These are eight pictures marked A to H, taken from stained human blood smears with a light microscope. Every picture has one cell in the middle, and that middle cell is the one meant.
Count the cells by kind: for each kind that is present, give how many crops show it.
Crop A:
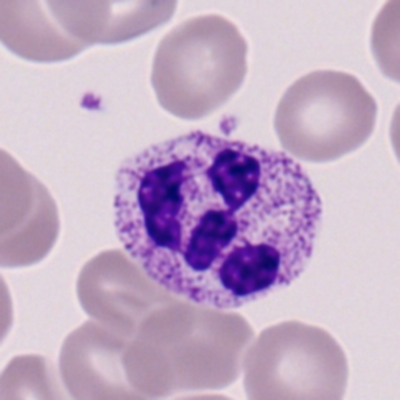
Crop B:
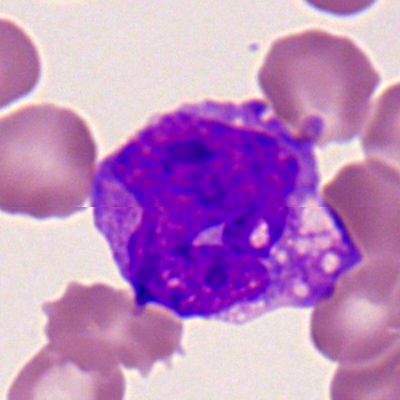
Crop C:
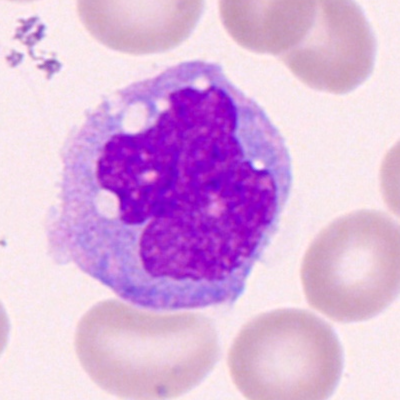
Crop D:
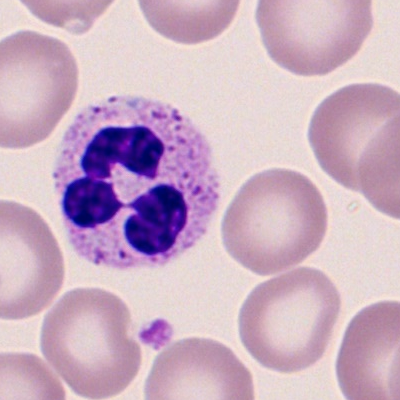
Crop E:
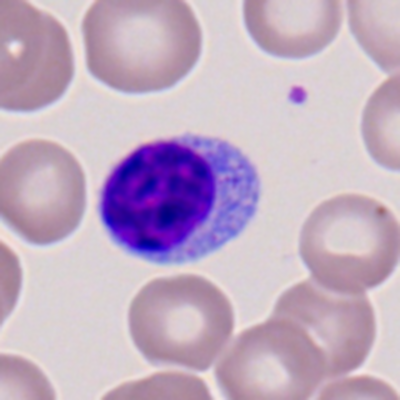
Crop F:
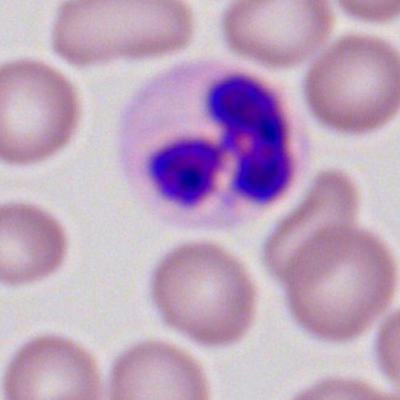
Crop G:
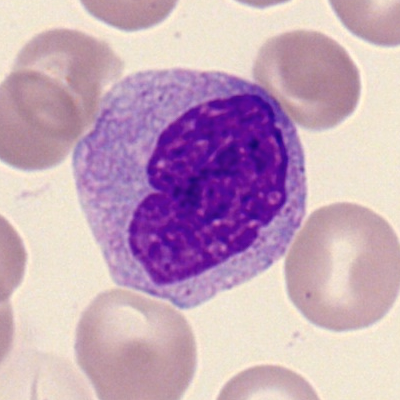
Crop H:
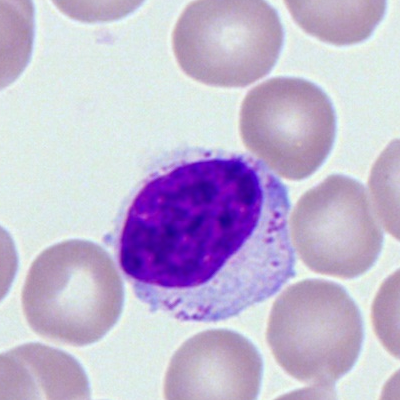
neutrophil: 3
monocyte: 3
lymphocyte: 2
